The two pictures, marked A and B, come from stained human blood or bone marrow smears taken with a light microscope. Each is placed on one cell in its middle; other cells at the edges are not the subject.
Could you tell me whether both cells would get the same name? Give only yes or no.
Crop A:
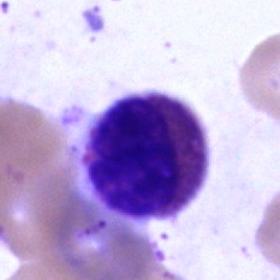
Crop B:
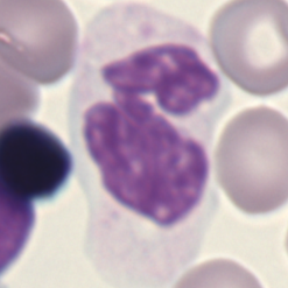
no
